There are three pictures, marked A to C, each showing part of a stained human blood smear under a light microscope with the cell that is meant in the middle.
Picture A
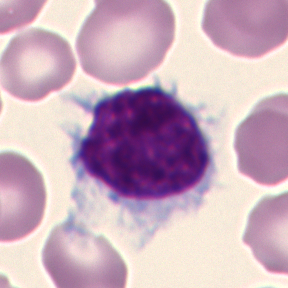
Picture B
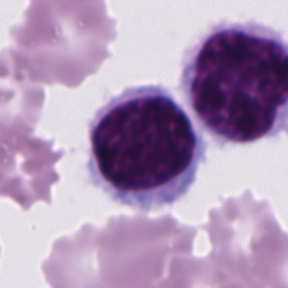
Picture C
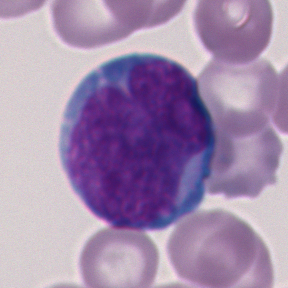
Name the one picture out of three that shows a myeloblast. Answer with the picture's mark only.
C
